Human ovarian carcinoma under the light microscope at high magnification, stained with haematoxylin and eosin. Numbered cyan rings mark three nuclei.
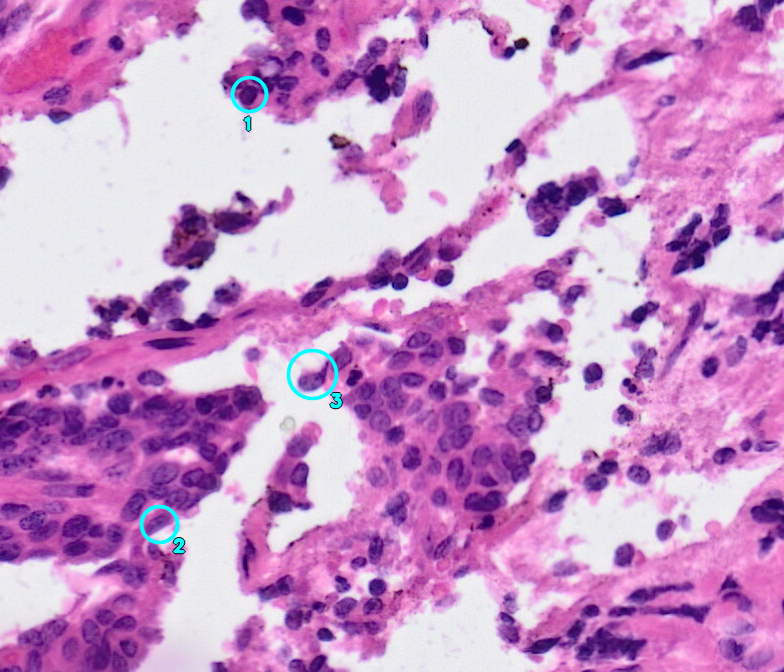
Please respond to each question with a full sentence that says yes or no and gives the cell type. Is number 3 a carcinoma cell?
No, the cell with the number 3 is a macrophage or monocyte, not a carcinoma cell.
